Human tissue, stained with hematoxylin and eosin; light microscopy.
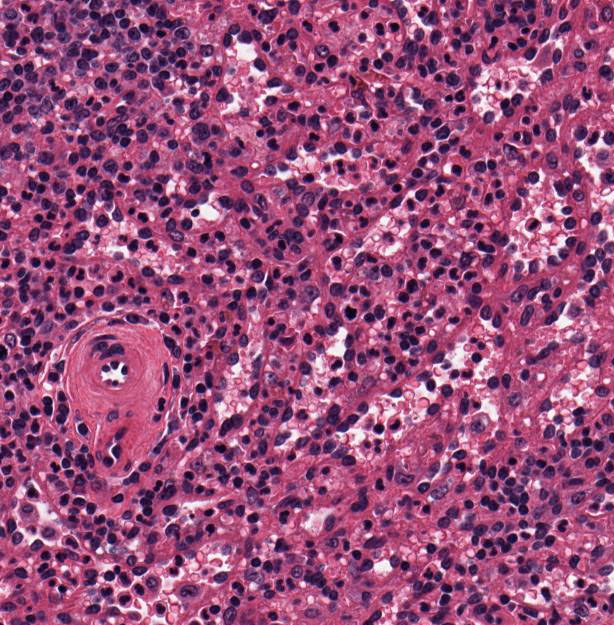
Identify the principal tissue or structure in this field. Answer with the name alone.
red pulp of the spleen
